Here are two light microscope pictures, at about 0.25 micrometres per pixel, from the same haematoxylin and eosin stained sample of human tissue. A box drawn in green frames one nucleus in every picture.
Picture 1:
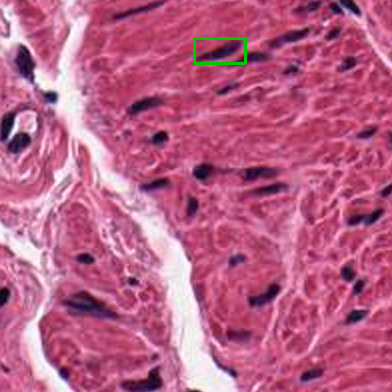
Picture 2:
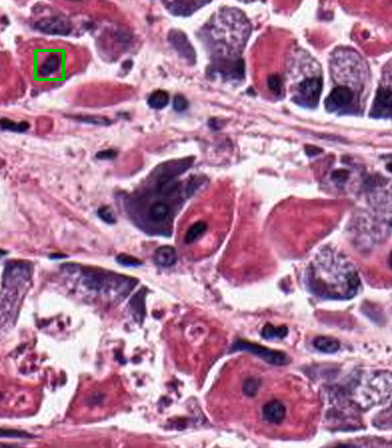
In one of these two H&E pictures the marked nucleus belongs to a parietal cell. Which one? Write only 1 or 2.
2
